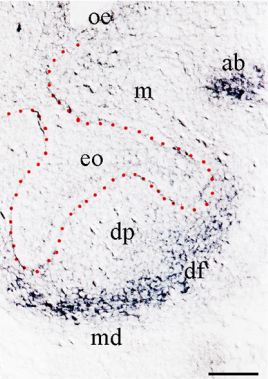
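This section shows a cap-stage tooth germ, in which the epithelial enamel organ (outlined by a red dotted line) forms a cap over the dental papilla, a mass of mesenchyme that bulges up into it. Purple-stained cells form a band wrapping around the outside of the germ, the dental follicle, densest along its lower part. The oral epithelium runs down to the germ from above, and a small cluster of stained cells at the upper right lies in developing alveolar bone.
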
